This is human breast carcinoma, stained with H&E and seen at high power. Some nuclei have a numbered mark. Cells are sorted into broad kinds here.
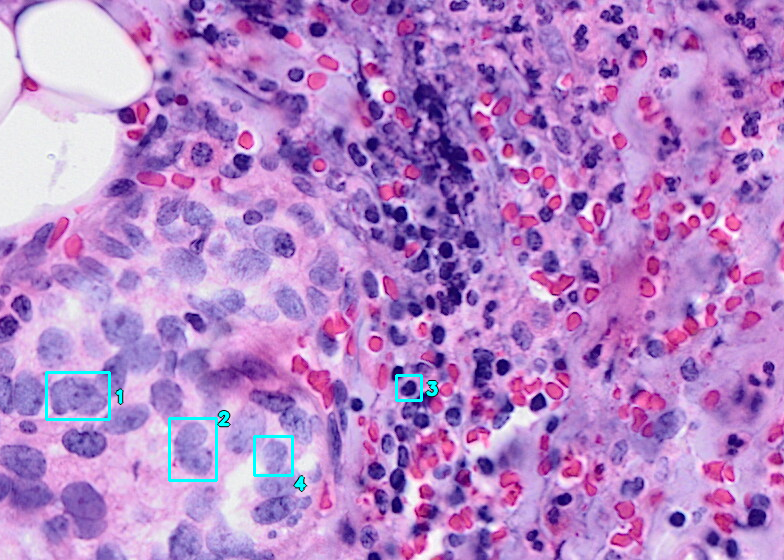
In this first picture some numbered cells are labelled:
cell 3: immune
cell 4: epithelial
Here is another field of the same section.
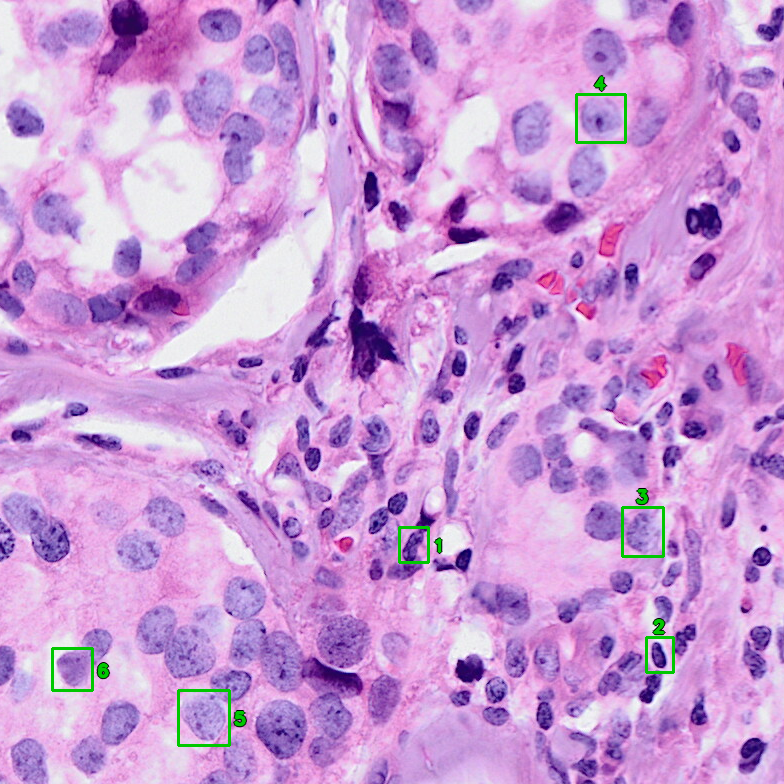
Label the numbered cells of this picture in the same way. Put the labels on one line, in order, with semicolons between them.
immune; immune; epithelial; epithelial; epithelial; epithelial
